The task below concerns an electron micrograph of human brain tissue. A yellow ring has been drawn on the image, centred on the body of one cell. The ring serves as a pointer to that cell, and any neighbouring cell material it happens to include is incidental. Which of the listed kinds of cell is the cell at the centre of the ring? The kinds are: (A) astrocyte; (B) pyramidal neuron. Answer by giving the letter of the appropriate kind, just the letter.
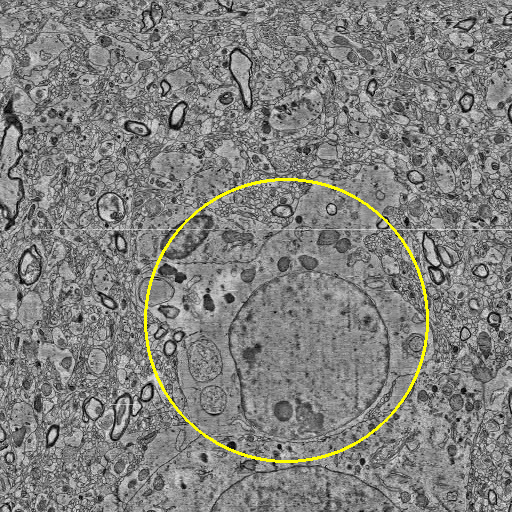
A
